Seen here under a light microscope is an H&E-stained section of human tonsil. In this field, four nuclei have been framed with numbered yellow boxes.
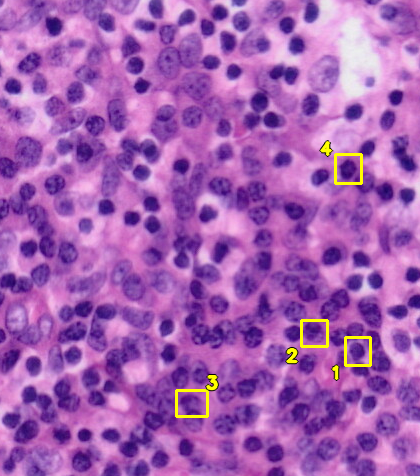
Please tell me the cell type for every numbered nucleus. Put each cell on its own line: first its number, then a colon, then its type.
1: small lymphocyte
2: plasma cell
3: plasma cell
4: plasma cell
